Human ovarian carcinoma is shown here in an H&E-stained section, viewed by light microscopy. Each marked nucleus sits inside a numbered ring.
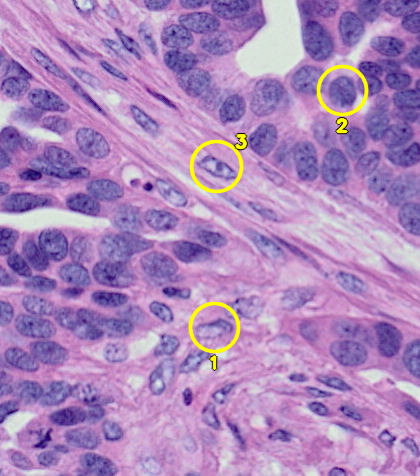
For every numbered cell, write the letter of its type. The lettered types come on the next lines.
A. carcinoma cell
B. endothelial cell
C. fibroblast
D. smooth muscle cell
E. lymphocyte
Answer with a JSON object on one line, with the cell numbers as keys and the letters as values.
{"1": "C", "2": "A", "3": "C"}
